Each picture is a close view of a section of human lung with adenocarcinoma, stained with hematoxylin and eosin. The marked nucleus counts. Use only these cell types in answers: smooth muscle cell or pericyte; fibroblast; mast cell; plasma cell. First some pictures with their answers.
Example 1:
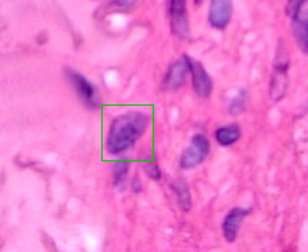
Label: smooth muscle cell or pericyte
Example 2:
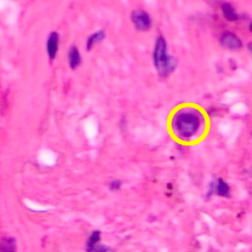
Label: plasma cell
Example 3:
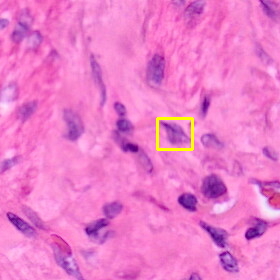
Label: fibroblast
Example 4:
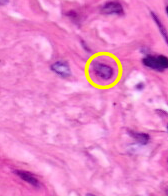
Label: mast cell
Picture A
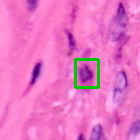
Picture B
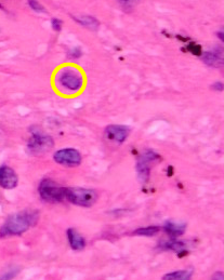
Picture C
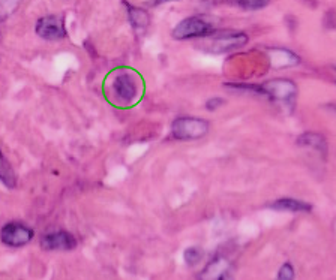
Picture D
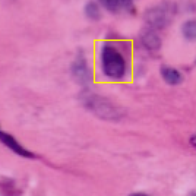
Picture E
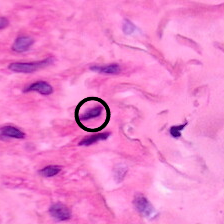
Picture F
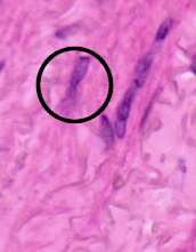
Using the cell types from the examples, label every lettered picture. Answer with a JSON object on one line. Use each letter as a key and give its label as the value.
{"A": "plasma cell", "B": "mast cell", "C": "plasma cell", "D": "plasma cell", "E": "smooth muscle cell or pericyte", "F": "smooth muscle cell or pericyte"}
